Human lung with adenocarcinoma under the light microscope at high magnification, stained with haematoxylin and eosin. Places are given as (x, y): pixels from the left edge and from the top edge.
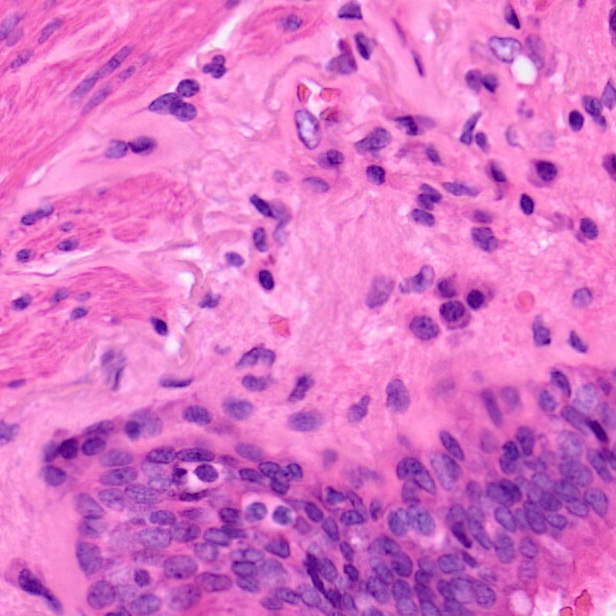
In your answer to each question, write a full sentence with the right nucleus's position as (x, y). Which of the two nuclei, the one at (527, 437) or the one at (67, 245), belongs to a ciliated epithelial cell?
The nucleus at (527, 437) is contained in a ciliated epithelial cell.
